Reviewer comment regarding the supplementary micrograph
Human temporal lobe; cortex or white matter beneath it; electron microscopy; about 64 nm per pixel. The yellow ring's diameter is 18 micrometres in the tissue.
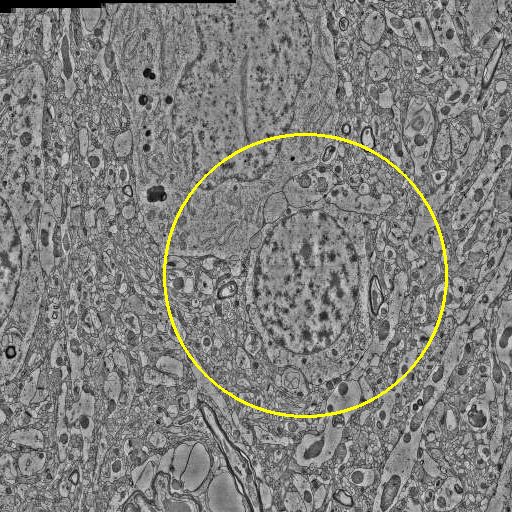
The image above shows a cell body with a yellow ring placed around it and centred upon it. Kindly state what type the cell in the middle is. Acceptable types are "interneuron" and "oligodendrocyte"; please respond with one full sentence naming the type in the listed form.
In the image above, the cell on which the yellow ring is centred is an interneuron.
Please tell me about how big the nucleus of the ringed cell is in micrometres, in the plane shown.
The ringed cell's nucleus measures approximately 9 by 7 micrometres in this plane.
